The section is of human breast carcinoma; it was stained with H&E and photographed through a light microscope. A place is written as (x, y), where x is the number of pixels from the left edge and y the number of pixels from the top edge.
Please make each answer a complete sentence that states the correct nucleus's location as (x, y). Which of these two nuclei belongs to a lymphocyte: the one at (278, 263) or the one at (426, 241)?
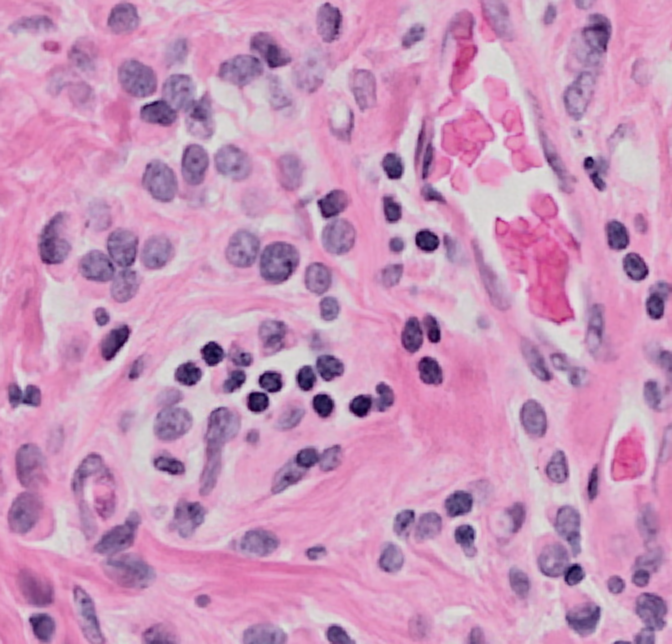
The nucleus situated at (426, 241) is the one belonging to a lymphocyte.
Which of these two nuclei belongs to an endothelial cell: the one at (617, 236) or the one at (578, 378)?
The nucleus at position (578, 378) belongs to an endothelial cell.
